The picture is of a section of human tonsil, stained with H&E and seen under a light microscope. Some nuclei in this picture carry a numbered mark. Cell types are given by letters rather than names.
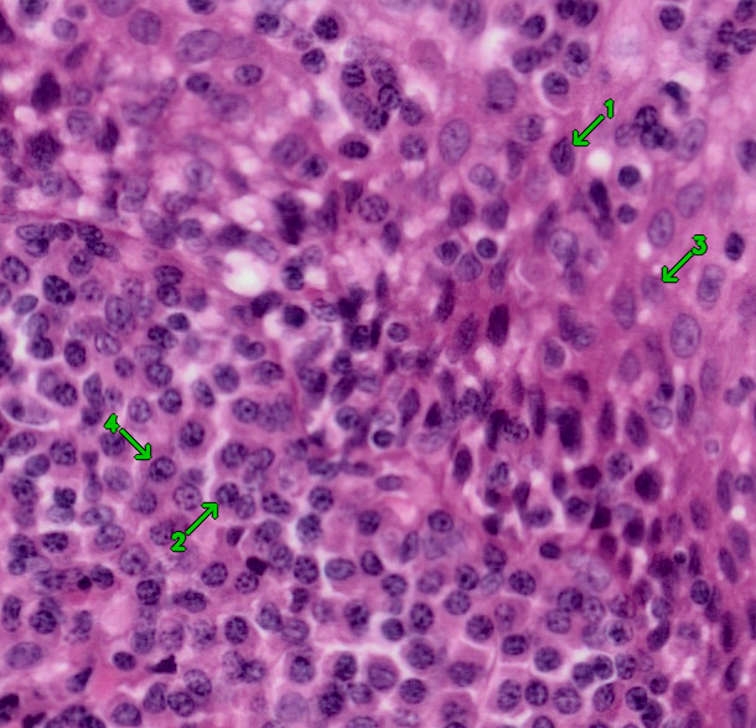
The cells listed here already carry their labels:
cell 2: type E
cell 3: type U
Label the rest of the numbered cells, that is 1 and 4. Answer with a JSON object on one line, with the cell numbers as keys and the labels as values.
{"1": "type U", "4": "type E"}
